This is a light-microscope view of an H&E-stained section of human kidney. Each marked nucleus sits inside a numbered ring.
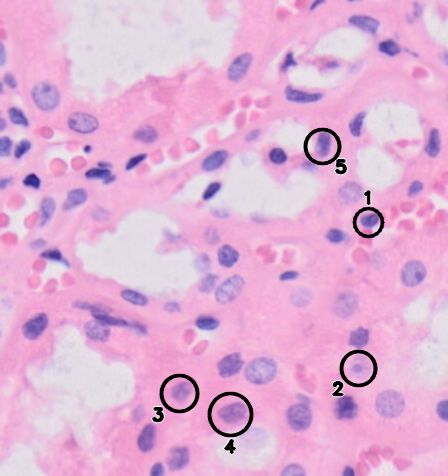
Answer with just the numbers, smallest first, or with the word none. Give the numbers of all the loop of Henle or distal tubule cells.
5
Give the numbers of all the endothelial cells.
1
